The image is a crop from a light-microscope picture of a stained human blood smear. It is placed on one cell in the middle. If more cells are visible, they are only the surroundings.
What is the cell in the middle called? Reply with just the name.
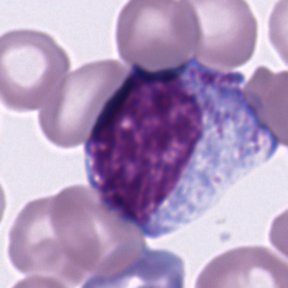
myelocyte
